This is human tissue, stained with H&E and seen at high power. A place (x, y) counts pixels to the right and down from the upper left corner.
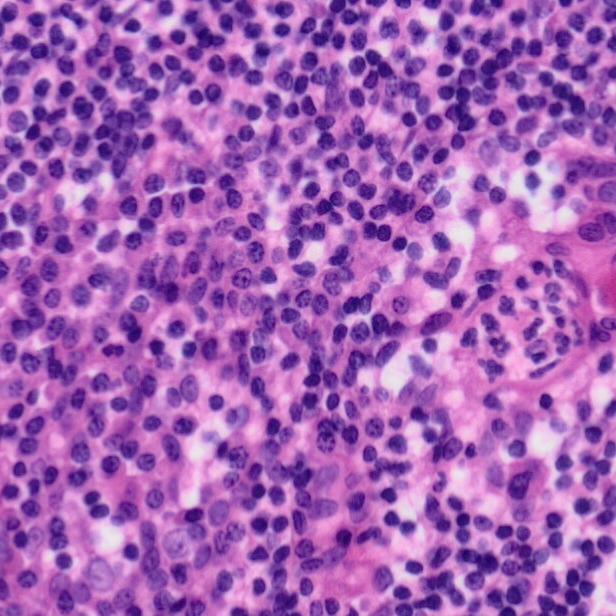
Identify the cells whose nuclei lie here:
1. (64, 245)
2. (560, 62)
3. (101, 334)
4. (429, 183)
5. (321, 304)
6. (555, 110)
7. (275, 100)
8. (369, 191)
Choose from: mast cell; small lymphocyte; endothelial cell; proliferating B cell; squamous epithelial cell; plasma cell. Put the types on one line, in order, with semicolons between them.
plasma cell; small lymphocyte; plasma cell; plasma cell; plasma cell; small lymphocyte; small lymphocyte; small lymphocyte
